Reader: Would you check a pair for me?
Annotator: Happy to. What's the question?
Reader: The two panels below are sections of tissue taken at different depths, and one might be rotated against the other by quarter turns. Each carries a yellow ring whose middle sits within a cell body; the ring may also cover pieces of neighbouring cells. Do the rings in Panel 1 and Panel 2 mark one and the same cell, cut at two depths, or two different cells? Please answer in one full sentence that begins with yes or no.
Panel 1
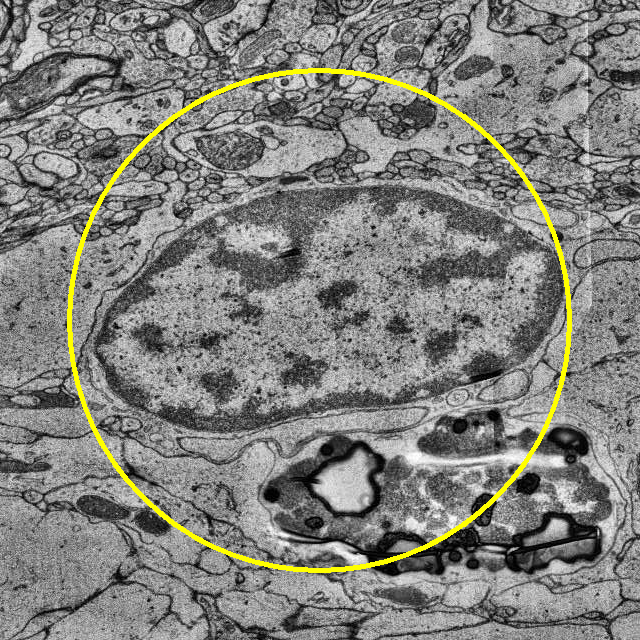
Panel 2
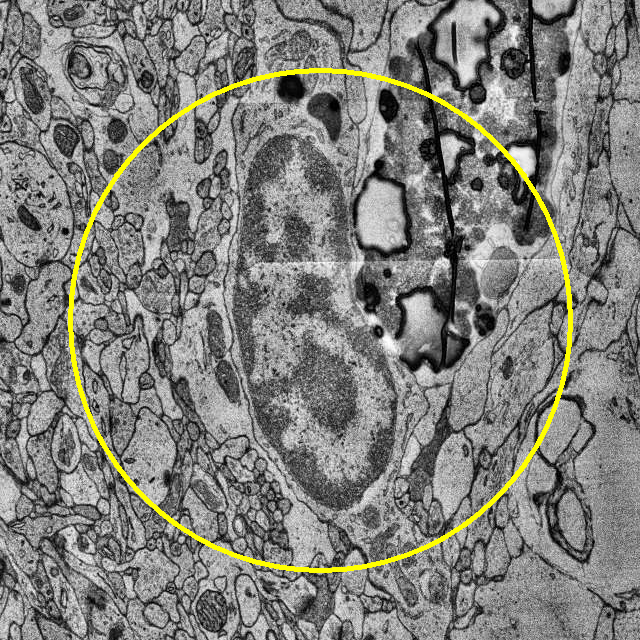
Yes, the cell inside the first ring is the cell inside the second.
